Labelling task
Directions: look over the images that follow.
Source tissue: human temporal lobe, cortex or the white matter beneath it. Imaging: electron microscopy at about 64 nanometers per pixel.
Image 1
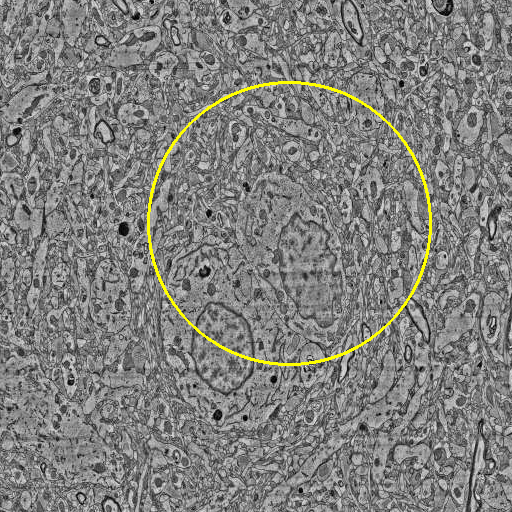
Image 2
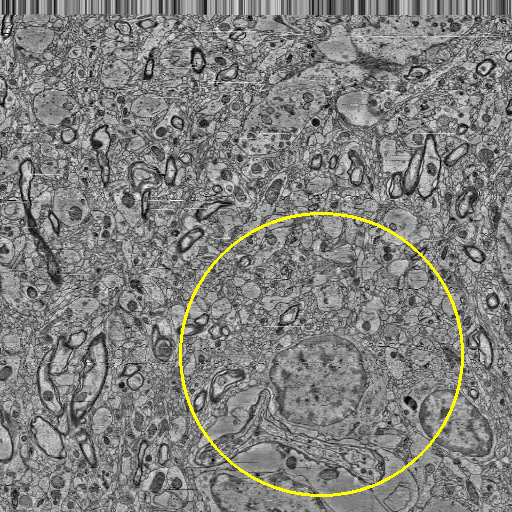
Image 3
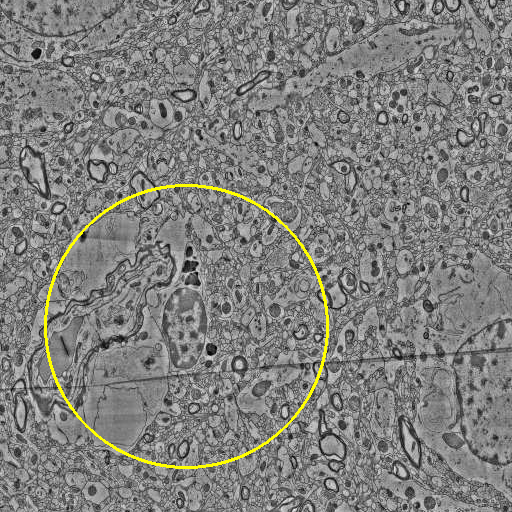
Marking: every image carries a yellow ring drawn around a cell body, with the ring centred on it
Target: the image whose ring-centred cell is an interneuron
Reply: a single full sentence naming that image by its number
The requested cell sits at the ring's centre in Image 1.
